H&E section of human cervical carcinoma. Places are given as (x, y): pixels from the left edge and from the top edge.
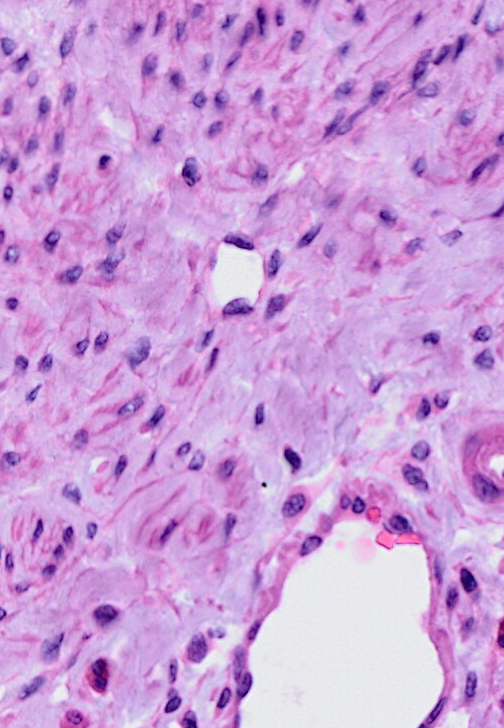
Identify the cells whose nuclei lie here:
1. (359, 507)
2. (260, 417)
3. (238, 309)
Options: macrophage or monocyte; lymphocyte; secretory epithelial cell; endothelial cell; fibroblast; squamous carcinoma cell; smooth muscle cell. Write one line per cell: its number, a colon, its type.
1: endothelial cell
2: fibroblast
3: endothelial cell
